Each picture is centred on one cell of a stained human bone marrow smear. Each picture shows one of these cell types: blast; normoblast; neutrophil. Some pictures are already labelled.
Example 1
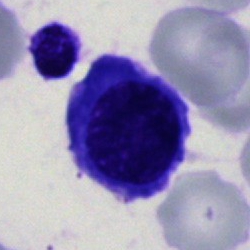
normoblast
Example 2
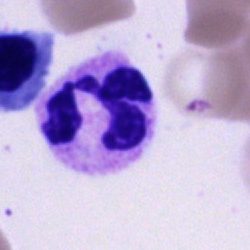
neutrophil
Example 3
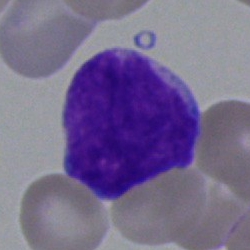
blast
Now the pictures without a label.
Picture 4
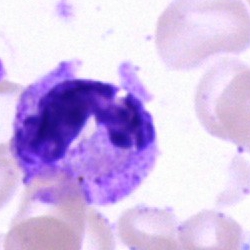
neutrophil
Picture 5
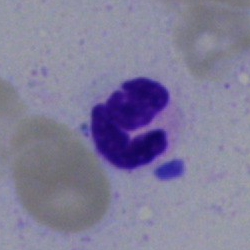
neutrophil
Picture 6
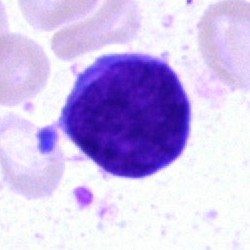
blast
